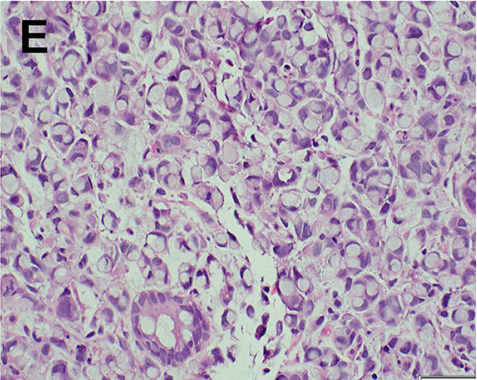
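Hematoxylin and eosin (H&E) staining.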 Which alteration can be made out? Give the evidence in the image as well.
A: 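Signet ring carcinoma. Many single cells have pale clear vacuolated cytoplasm. Nuclei are pushed to one side of the cell. The cells lie loosely scattered rather than in glands.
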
